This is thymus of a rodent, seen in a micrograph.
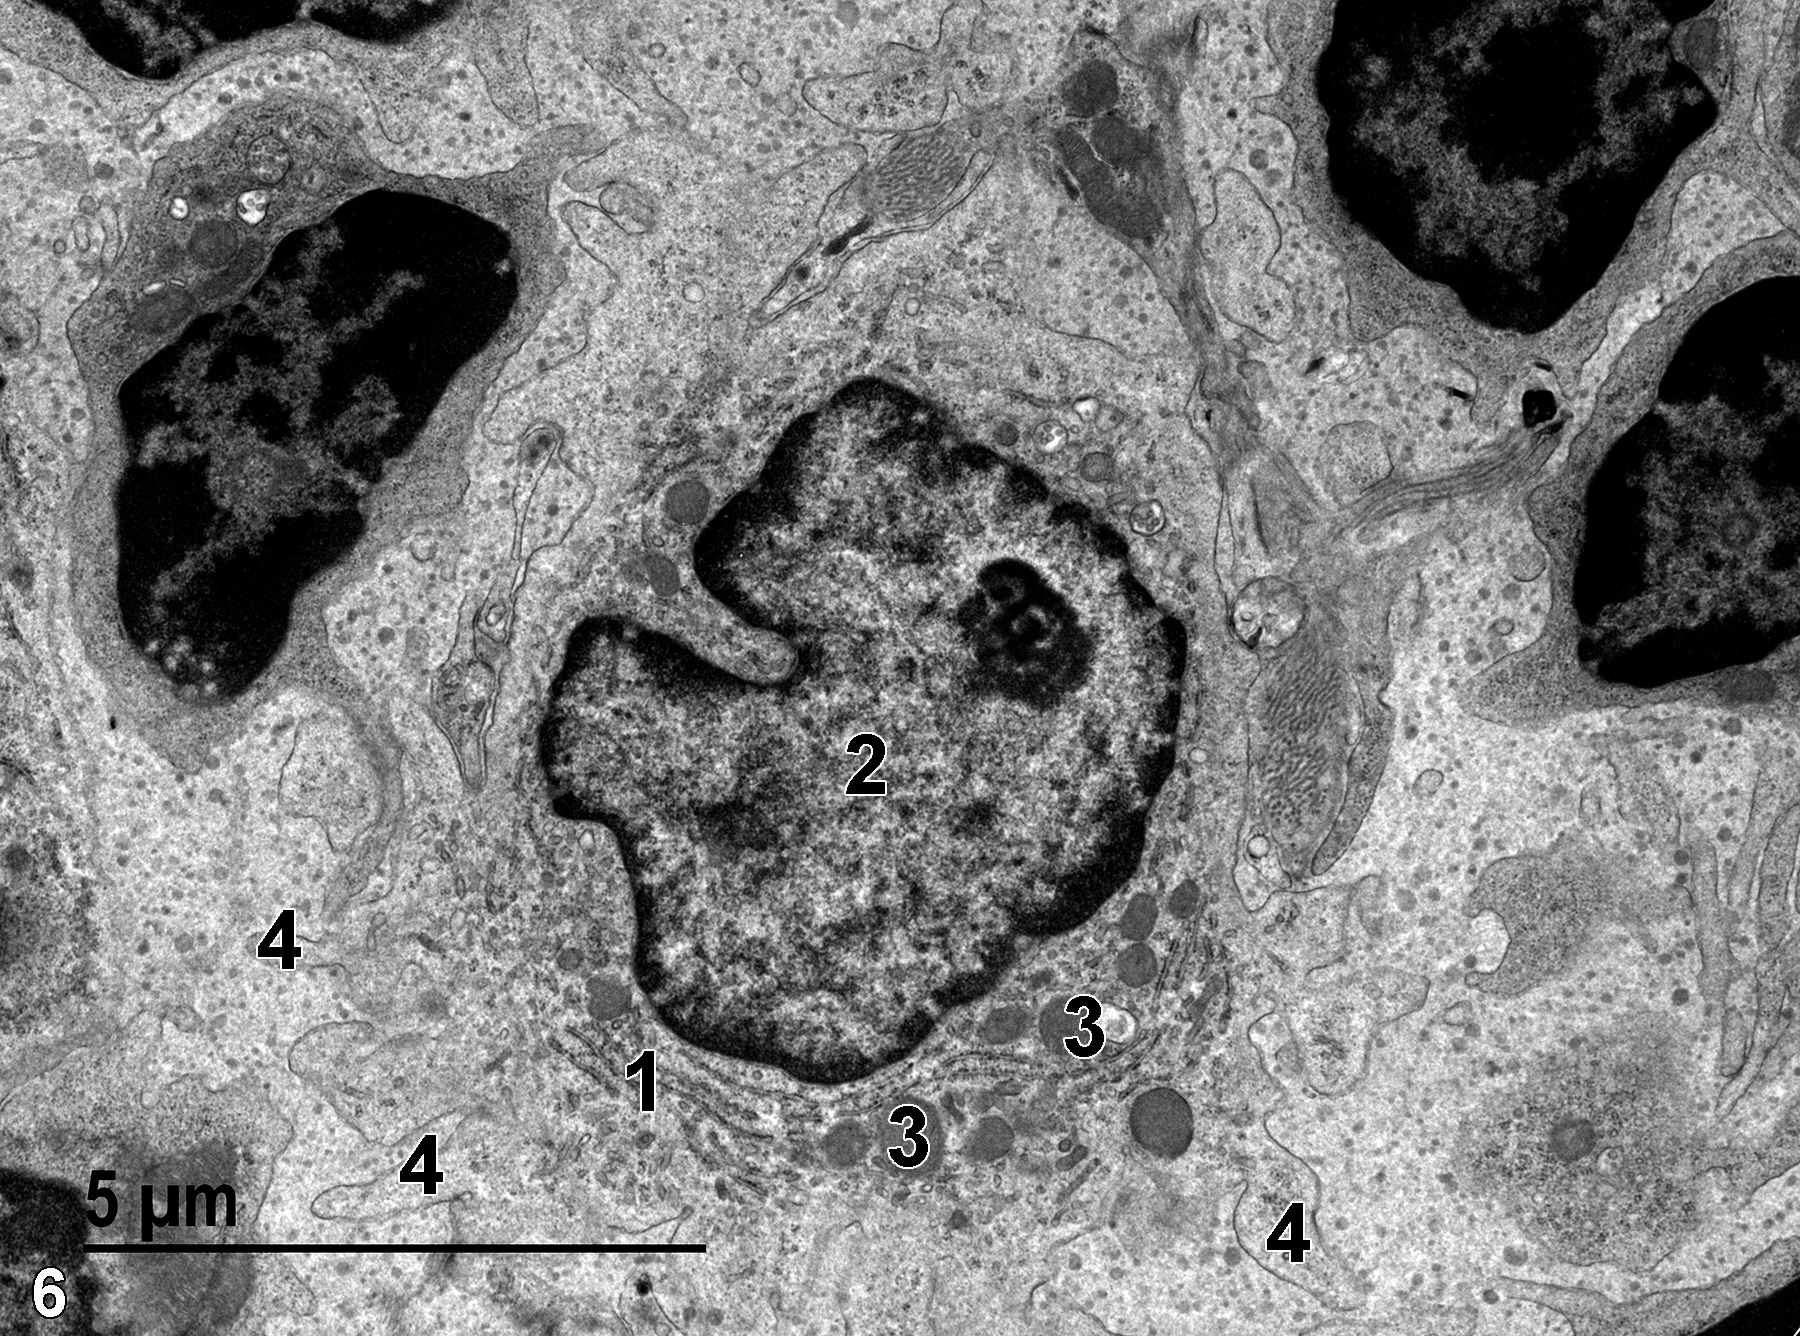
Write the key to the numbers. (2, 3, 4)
2: nucleus
3: mitochondria
4: cytoplasmic extensions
